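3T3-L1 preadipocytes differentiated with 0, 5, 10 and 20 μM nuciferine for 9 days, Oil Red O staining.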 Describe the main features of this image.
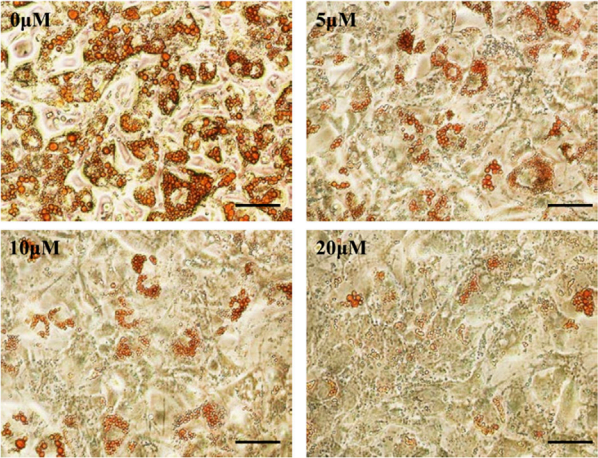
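Four fields show a confluent culture of cells, some flat and spindle-shaped, others rounded and filled with red-orange droplets. In the upper left field most cells are crowded with large, bright droplets that pack the cytoplasm in grape-like clusters. In the other fields the droplet-laden cells are fewer and appear as scattered clusters among pale, elongated cells with thin outlines.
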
